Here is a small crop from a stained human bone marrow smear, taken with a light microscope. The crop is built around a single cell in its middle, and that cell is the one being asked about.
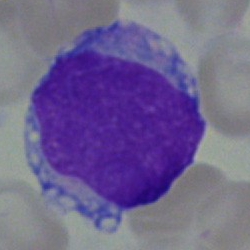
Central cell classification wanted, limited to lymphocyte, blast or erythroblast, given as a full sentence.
The middle of this crop is occupied by a blast.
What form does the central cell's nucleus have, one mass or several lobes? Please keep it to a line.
Worth pointing out that its nucleus is one compact mass, round, oval or reniform.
